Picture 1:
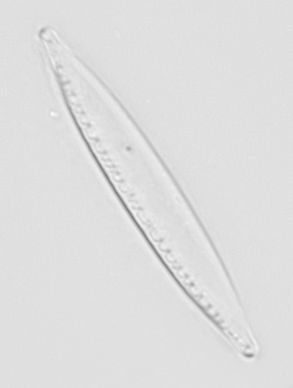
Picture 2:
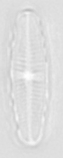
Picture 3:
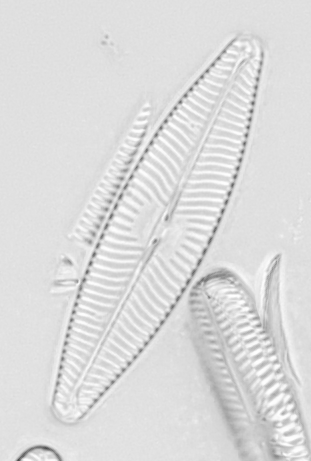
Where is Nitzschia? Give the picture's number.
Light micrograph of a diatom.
1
